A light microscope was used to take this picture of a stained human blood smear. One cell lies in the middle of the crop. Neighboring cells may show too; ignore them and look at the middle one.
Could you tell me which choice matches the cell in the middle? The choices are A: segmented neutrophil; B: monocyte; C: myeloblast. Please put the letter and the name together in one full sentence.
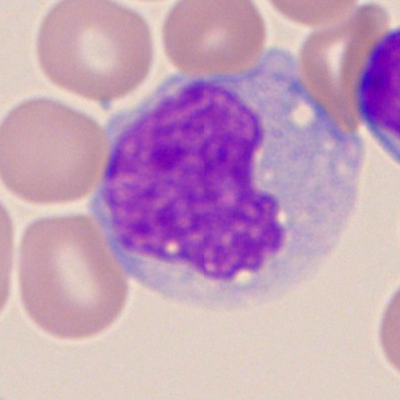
Since the middle cell is a monocyte, option B is the right one.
